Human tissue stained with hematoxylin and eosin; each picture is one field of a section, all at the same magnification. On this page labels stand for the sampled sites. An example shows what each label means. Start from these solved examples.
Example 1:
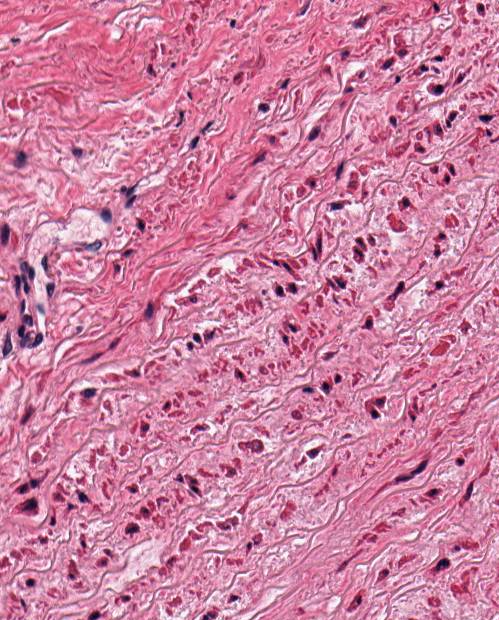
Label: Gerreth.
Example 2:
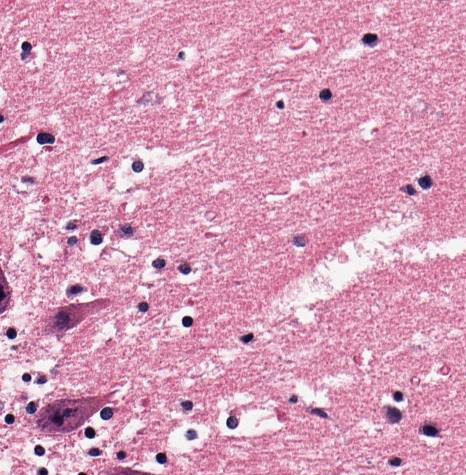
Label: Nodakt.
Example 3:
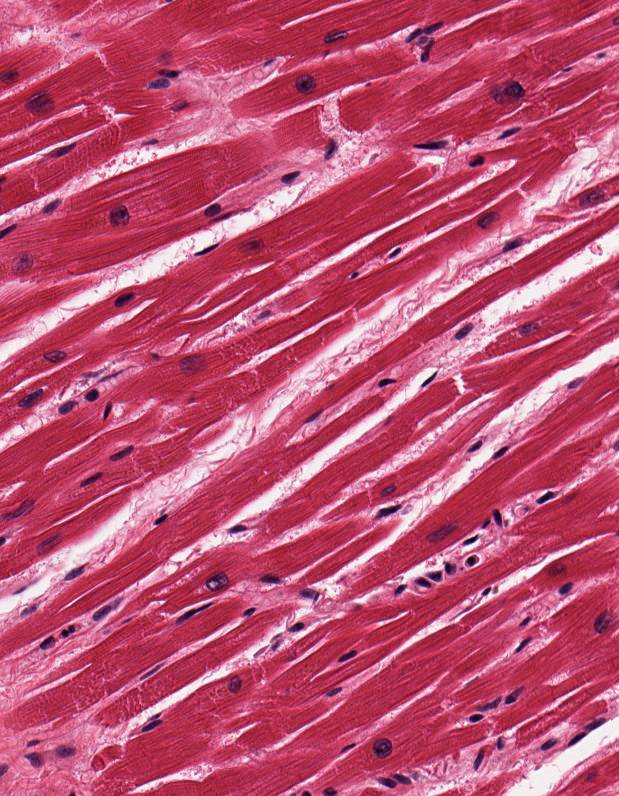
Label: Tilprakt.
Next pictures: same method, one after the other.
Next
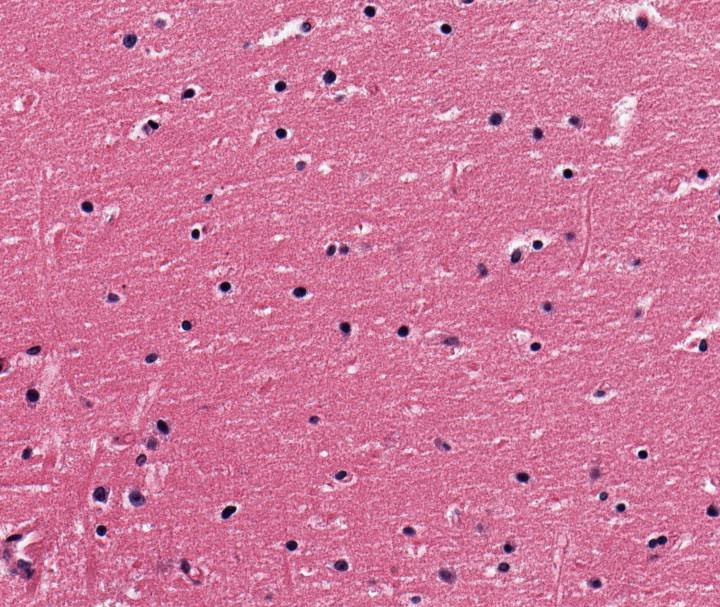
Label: Nodakt.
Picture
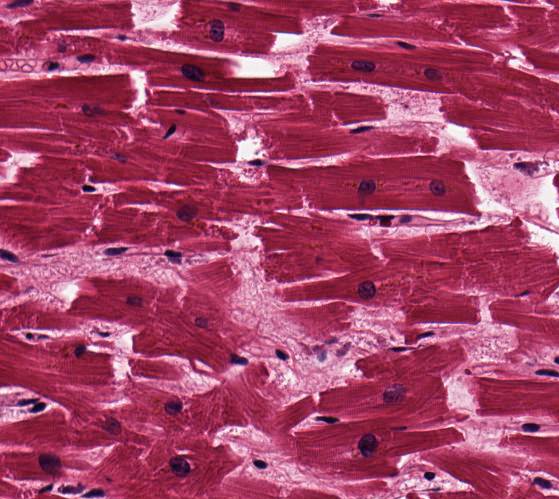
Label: Tilprakt.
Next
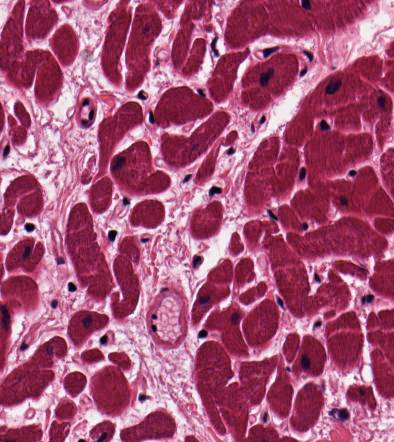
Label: Tilprakt.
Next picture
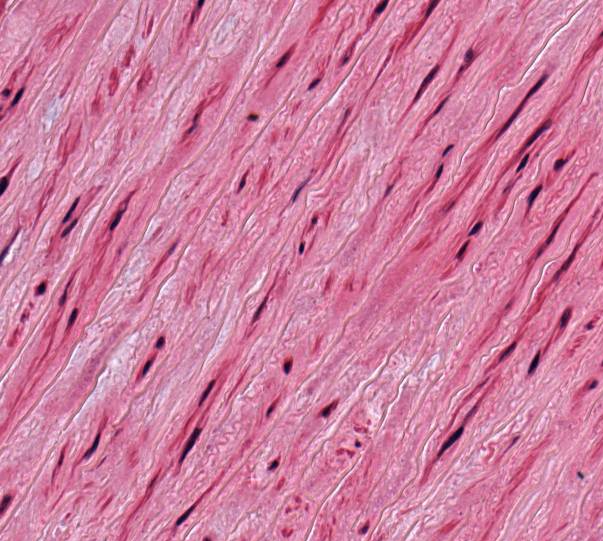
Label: Gerreth.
